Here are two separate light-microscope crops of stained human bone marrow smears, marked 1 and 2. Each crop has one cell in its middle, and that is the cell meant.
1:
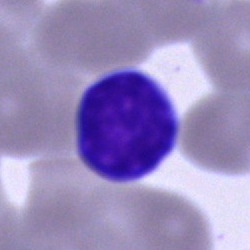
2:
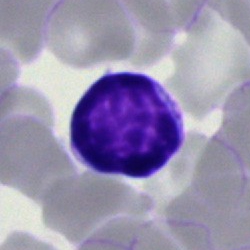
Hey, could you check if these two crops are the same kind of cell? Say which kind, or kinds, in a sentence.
Yes, lymphocytes are shown in both crops.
